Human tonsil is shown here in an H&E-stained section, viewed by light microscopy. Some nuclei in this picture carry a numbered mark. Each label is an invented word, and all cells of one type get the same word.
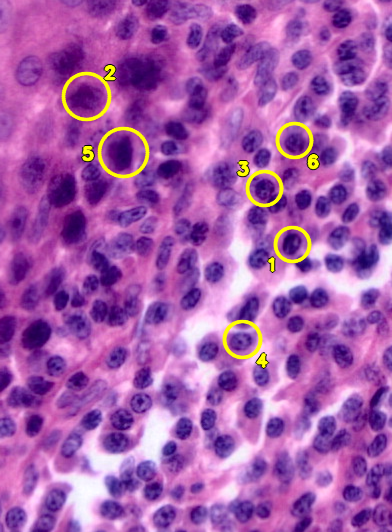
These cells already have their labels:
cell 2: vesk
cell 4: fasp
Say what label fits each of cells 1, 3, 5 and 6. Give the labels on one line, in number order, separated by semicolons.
fasp; fasp; vesk; fasp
